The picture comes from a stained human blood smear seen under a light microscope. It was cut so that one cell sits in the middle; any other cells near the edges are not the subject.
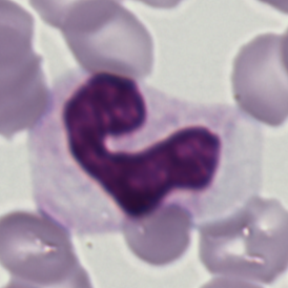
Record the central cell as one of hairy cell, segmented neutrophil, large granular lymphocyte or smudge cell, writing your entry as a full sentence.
Located at the centre of the crop is a segmented neutrophil.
